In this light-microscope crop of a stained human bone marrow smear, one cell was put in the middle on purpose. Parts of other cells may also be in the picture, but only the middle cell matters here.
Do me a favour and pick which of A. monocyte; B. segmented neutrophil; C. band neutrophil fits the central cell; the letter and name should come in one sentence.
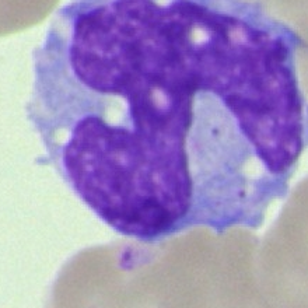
The cell shown centrally is a monocyte; option A is the correct option.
